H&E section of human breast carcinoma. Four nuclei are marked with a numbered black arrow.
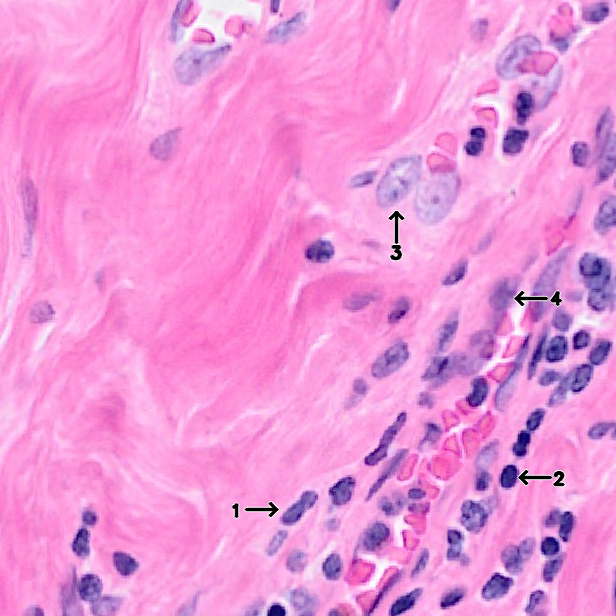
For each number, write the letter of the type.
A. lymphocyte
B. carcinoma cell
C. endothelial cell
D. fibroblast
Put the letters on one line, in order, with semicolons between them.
A; A; C; C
